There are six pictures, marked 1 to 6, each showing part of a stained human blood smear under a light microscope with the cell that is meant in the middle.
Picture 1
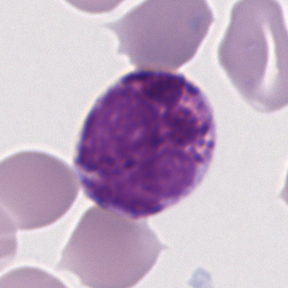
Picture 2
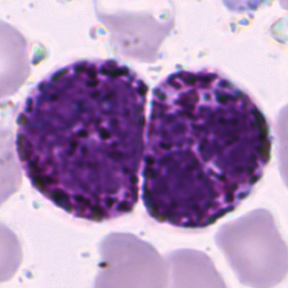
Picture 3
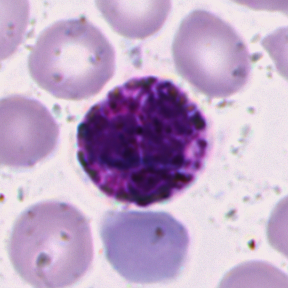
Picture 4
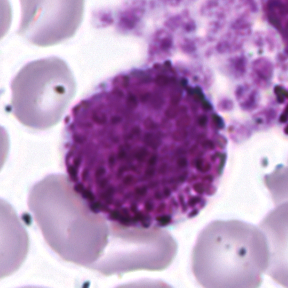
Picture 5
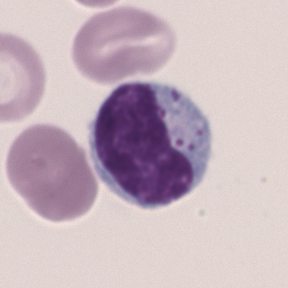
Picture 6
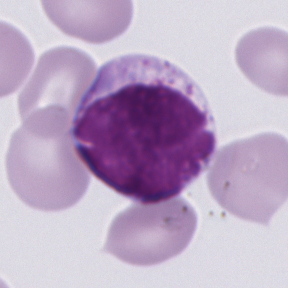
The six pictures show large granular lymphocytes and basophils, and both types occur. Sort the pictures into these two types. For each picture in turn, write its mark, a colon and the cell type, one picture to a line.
1: basophil
2: basophil
3: basophil
4: basophil
5: large granular lymphocyte
6: large granular lymphocyte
